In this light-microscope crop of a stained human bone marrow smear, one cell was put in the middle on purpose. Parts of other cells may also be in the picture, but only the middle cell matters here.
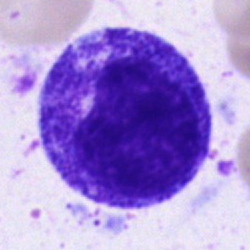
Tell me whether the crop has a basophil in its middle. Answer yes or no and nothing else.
no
